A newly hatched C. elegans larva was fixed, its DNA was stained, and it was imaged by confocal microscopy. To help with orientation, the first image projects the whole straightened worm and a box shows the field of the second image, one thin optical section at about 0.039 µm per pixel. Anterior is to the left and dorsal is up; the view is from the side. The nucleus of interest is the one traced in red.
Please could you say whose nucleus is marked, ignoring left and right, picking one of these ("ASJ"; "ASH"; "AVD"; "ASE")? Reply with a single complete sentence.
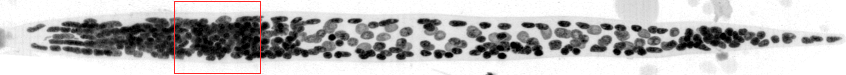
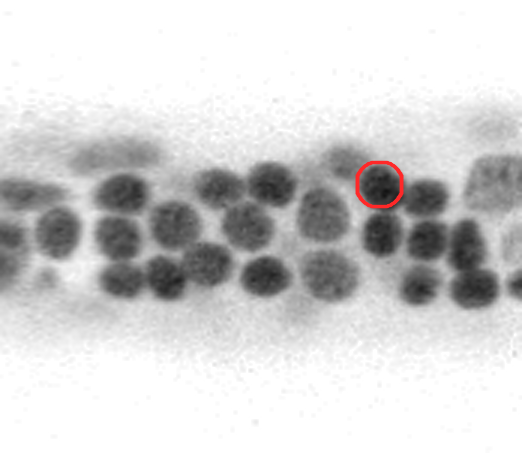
The cell whose nucleus is marked is AVD, a neuron.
